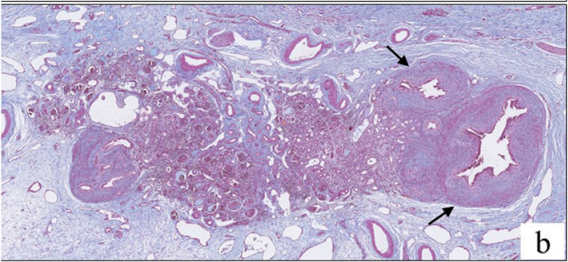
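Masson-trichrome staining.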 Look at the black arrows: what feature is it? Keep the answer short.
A: abnormal blood vessels with wall thickening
